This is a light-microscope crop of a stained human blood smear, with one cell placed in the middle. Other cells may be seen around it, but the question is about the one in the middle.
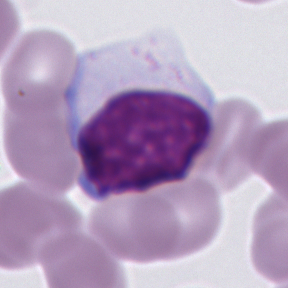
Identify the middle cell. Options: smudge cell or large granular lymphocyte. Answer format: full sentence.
What sits at the centre of this crop is a large granular lymphocyte.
